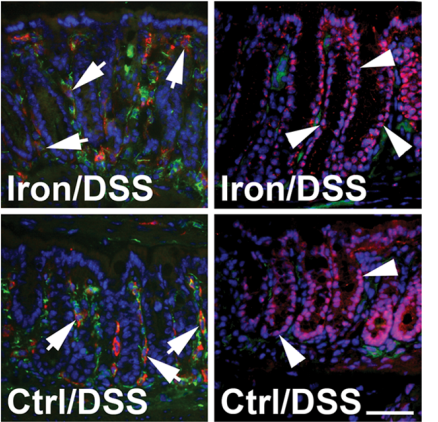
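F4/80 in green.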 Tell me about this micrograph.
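These are sections of colonic mucosa showing elongated tubular crypts lined by epithelial cells, whose blue nuclei form rows along the crypt walls, with lamina propria between the crypts. In the left images, irregular, elongated green cells with some red labelling lie scattered in the lamina propria between the crypts; these are macrophages, and arrows point to several of them. In the right images, many nuclei of the crypt epithelium are red or purple, and arrowheads point to such epithelial crypt cells, while fewer green cells are seen in the connective tissue between crypts.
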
